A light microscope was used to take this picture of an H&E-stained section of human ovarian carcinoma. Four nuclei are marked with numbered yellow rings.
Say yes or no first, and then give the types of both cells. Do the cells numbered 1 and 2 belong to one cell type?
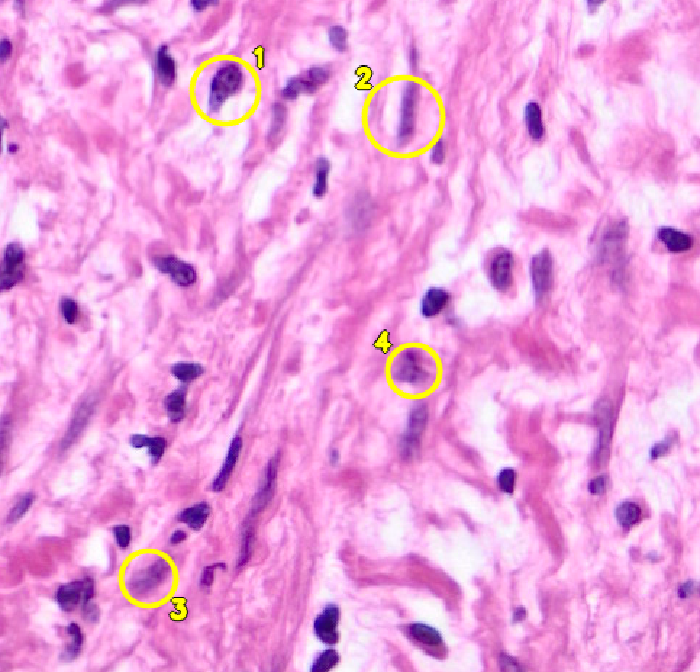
No, in this section cell 1 is a macrophage or monocyte and cell 2 is a fibroblast.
